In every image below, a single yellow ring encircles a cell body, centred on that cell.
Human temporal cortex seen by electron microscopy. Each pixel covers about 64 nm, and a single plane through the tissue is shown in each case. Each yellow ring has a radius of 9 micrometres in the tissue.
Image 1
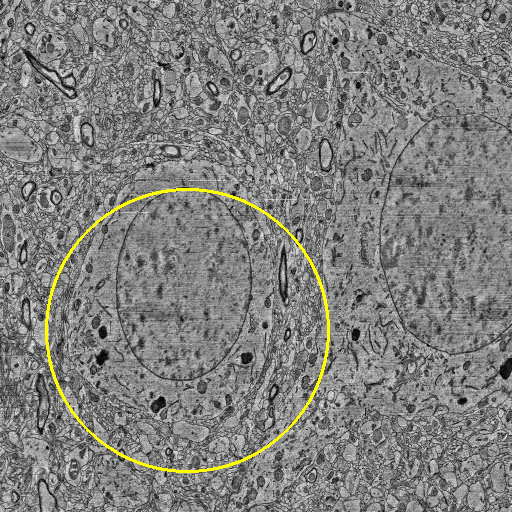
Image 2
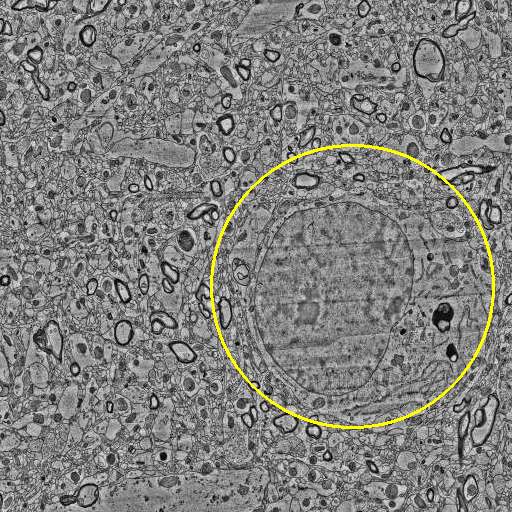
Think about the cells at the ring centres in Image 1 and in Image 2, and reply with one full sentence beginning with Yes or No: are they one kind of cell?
Yes, the cells centred in the rings of Image 1 and Image 2 are one kind of cell.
